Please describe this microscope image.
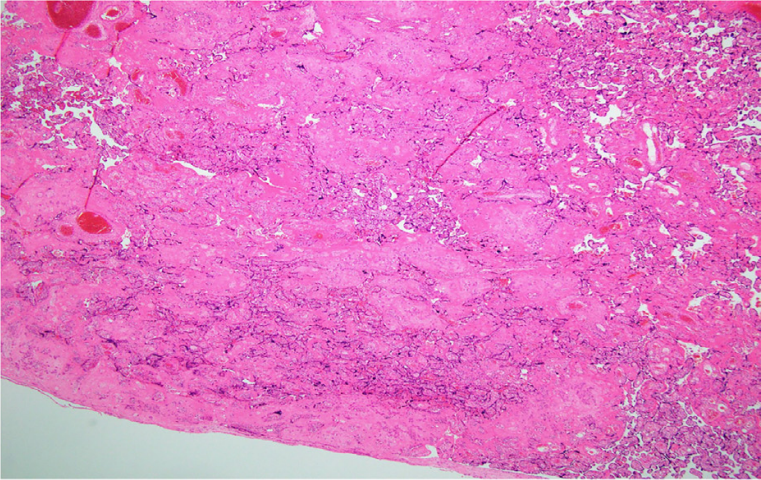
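At low magnification, a broad band of placental tissue is dominated by pale pink, homogeneous material. Thin purple strands of villous tissue run through it in a lattice-like pattern. Toward the edges of the field, looser tissue with open spaces and separate villi remains. A few vessels filled with red blood cells show near the top. The villi appear embedded and crowded out by the pink deposits rather than floating free. This is diffuse fibrin deposition in the placenta.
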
